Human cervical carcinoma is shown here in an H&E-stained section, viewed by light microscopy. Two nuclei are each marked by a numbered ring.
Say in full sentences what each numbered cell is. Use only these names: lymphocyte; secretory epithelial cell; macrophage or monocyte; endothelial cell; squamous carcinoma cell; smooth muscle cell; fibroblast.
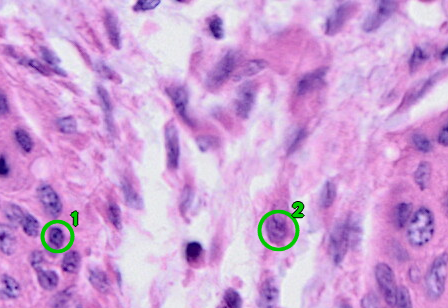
Cell 1 is a squamous carcinoma cell and cell 2 is a macrophage or monocyte.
